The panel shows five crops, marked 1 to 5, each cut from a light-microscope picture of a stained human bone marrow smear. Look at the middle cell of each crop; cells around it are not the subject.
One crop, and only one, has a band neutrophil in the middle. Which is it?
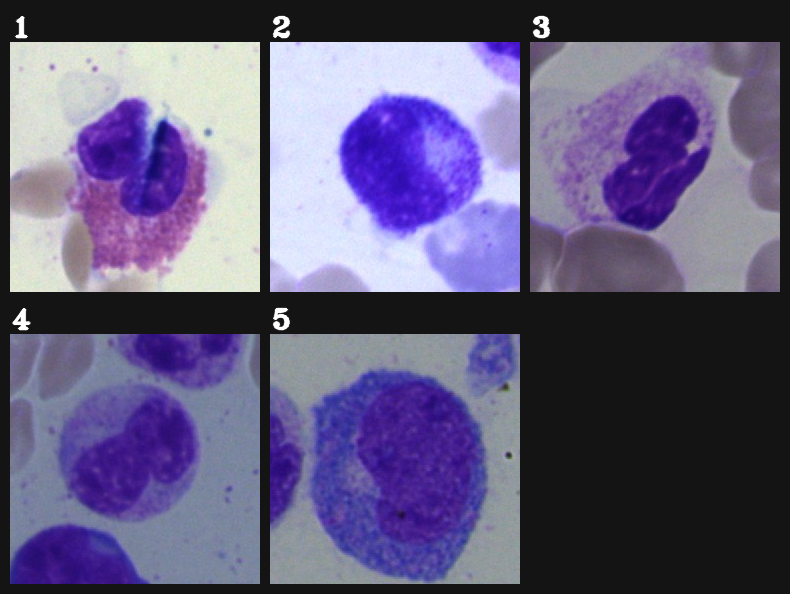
4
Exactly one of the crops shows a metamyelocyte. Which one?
2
